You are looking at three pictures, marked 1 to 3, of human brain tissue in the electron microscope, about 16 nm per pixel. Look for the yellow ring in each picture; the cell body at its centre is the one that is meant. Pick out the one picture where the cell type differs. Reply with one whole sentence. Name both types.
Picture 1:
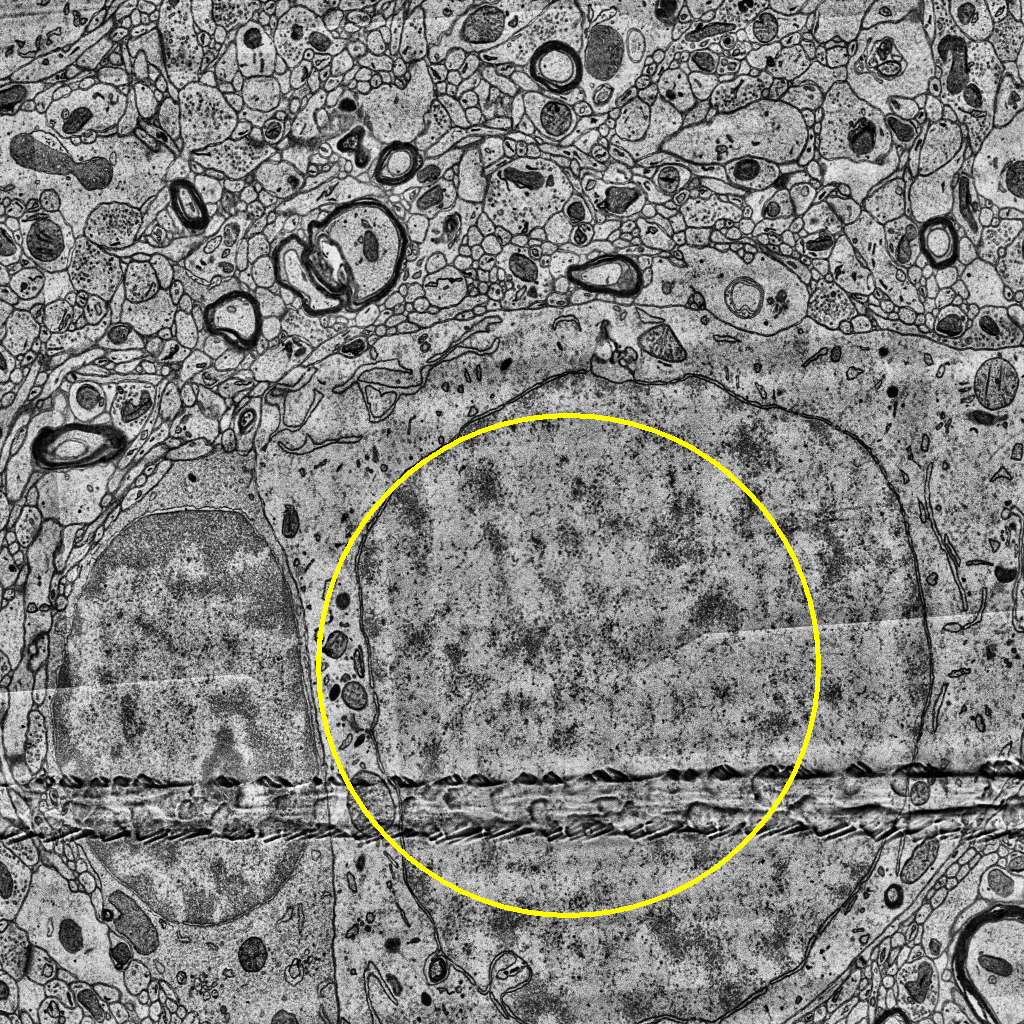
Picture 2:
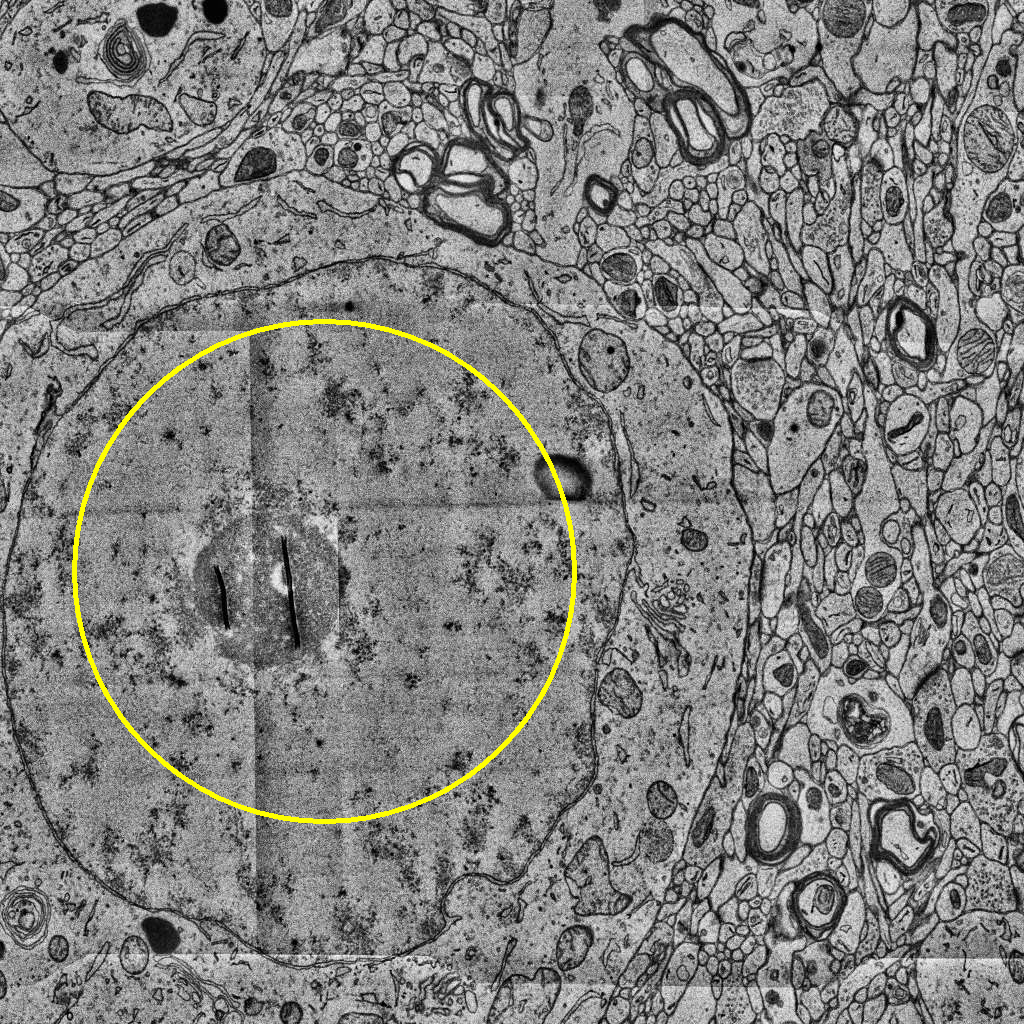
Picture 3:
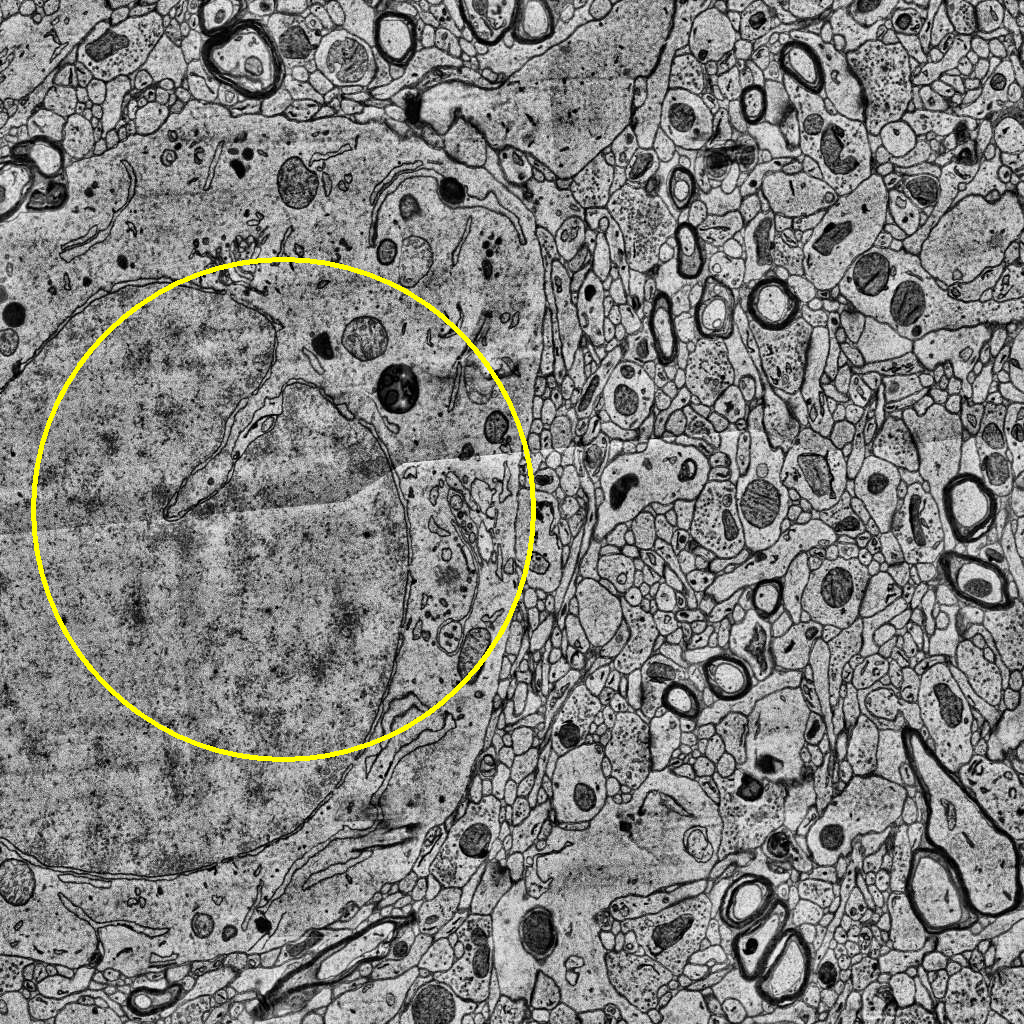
The different one is picture 3; it shows an interneuron, whereas all the others show pyramidal neurons.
